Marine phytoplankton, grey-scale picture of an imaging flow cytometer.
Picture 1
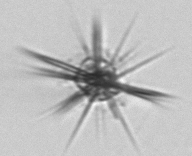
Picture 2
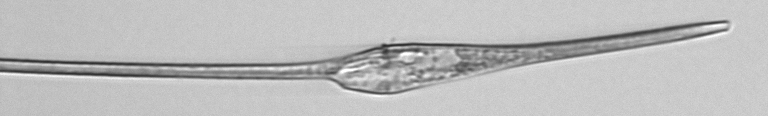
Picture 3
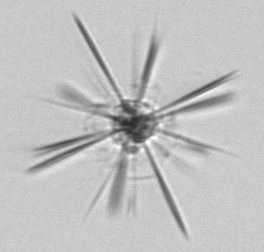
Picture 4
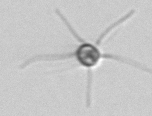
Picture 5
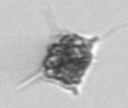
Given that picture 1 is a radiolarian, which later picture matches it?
3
